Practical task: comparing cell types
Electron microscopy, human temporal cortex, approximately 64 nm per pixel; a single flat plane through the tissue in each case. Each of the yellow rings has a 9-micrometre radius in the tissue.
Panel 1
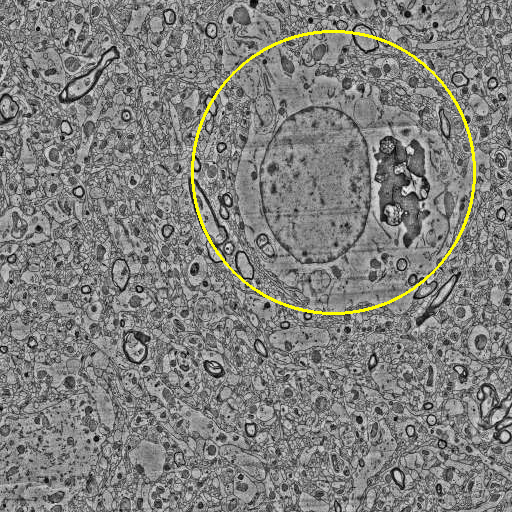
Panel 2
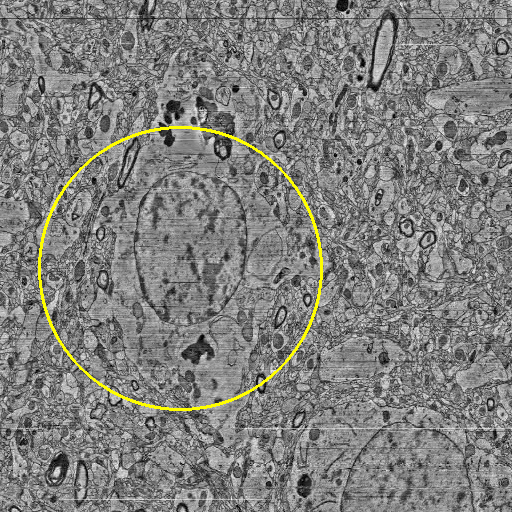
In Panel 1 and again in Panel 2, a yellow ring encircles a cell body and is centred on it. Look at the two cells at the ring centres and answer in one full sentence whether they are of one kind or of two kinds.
The two cells sitting at the ring centres of Panels 1 and 2 are of one kind.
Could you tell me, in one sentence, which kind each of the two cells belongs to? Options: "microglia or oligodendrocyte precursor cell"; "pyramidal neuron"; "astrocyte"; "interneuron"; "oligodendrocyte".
Each cell, in the first picture and the second, is an astrocyte.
